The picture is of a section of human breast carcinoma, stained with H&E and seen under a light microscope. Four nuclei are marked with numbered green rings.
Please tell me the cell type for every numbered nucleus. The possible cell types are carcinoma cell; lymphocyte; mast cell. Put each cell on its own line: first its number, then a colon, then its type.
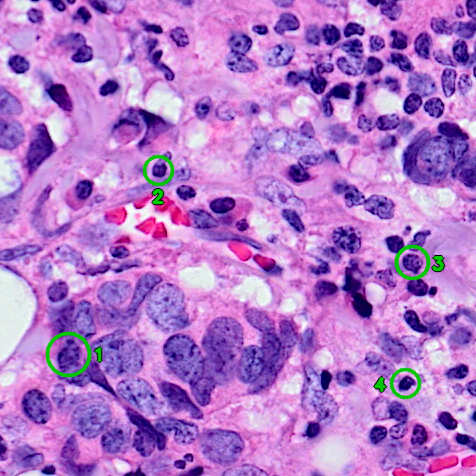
1: carcinoma cell
2: lymphocyte
3: lymphocyte
4: lymphocyte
